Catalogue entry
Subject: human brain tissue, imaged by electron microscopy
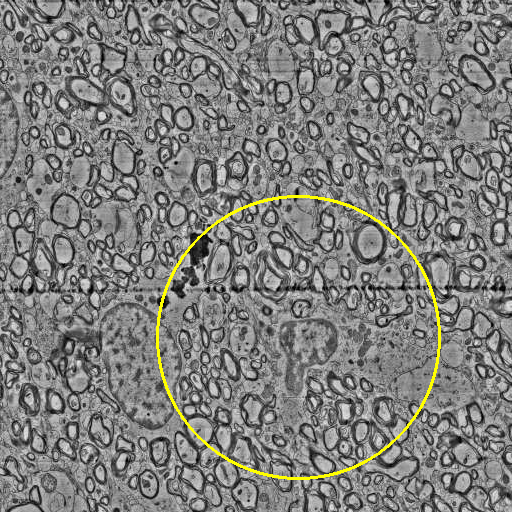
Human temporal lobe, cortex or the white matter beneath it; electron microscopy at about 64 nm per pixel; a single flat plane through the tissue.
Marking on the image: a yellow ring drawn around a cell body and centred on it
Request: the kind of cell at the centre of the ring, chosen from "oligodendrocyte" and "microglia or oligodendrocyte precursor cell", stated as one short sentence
The ring has a microglial cell or oligodendrocyte precursor cell at its centre.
